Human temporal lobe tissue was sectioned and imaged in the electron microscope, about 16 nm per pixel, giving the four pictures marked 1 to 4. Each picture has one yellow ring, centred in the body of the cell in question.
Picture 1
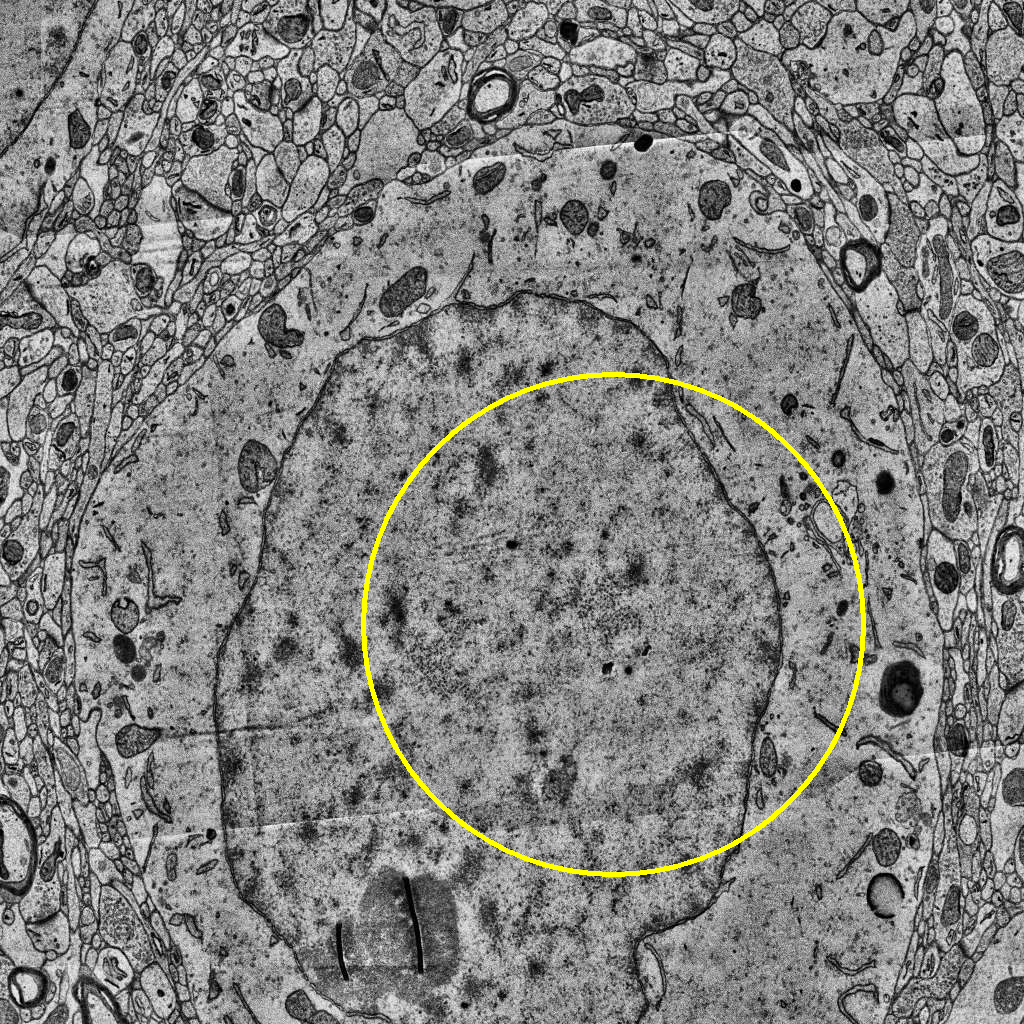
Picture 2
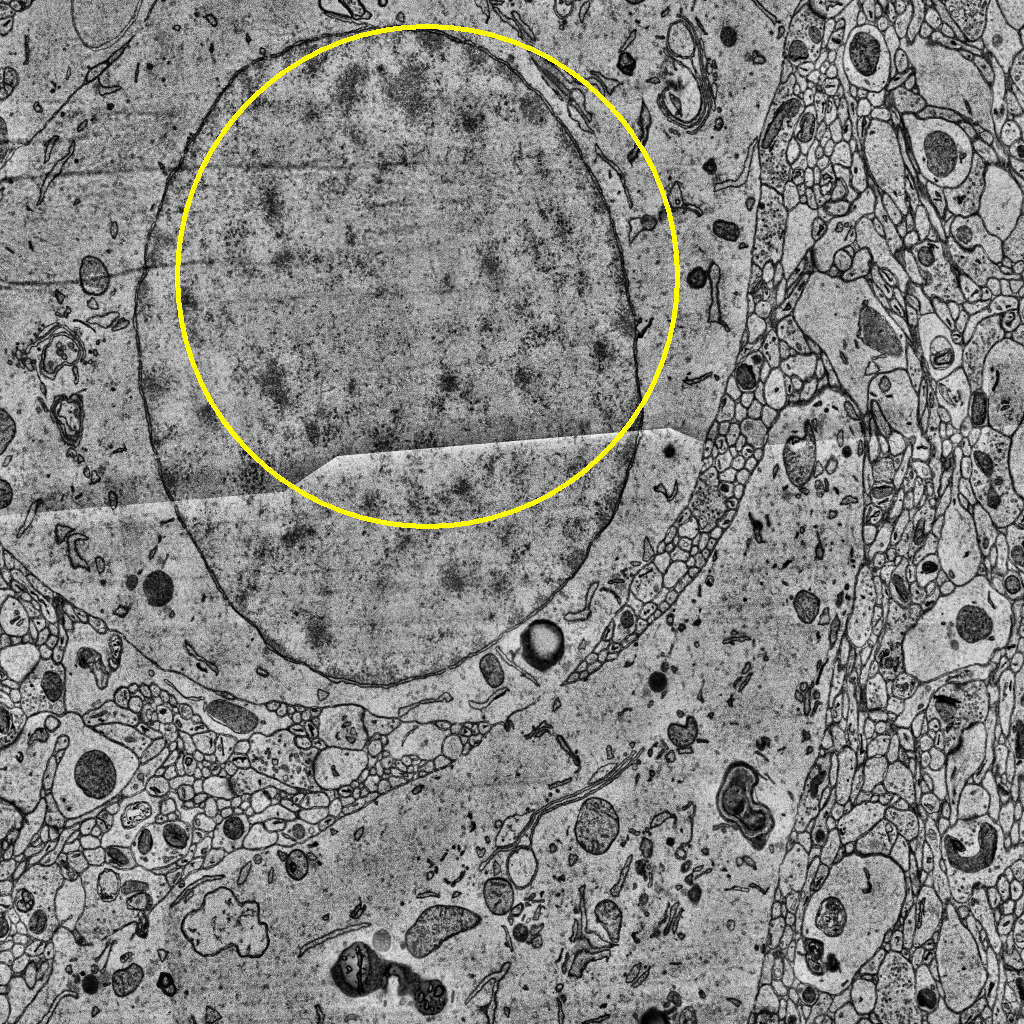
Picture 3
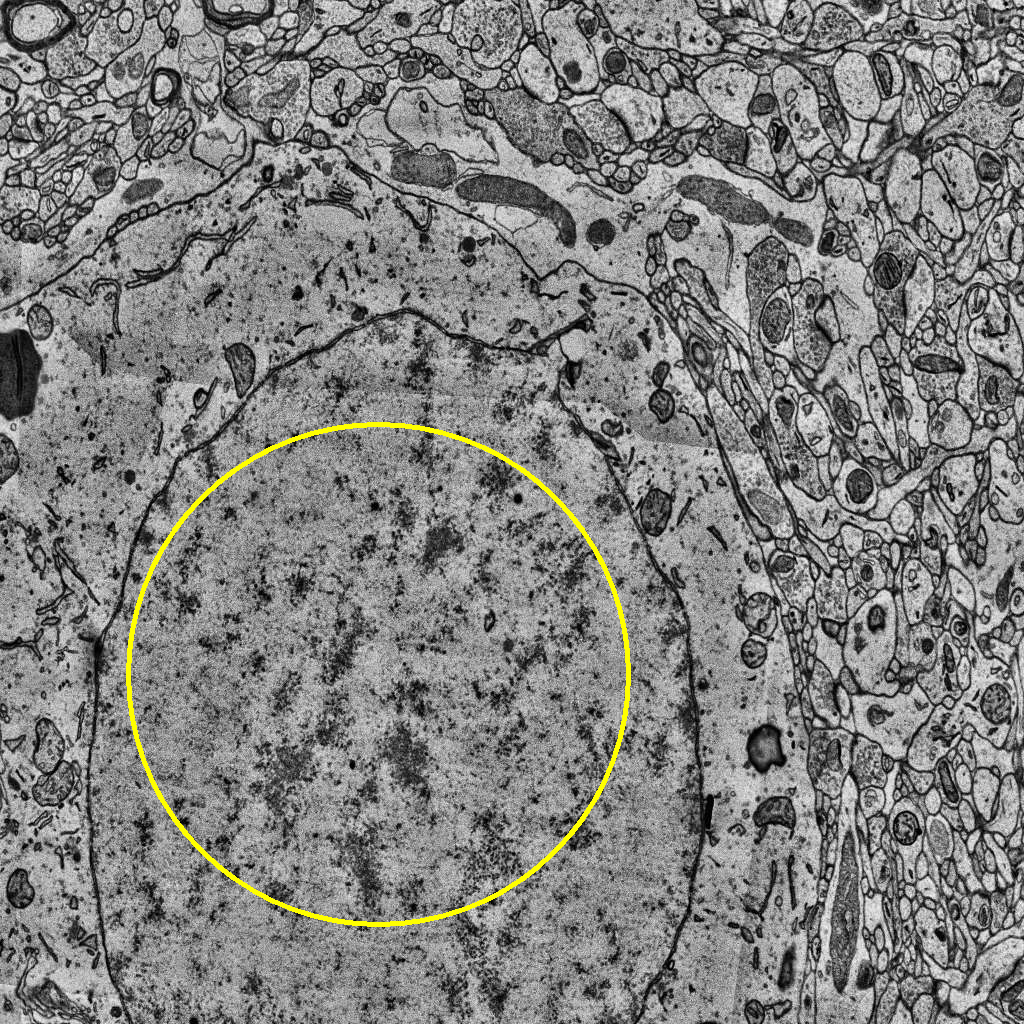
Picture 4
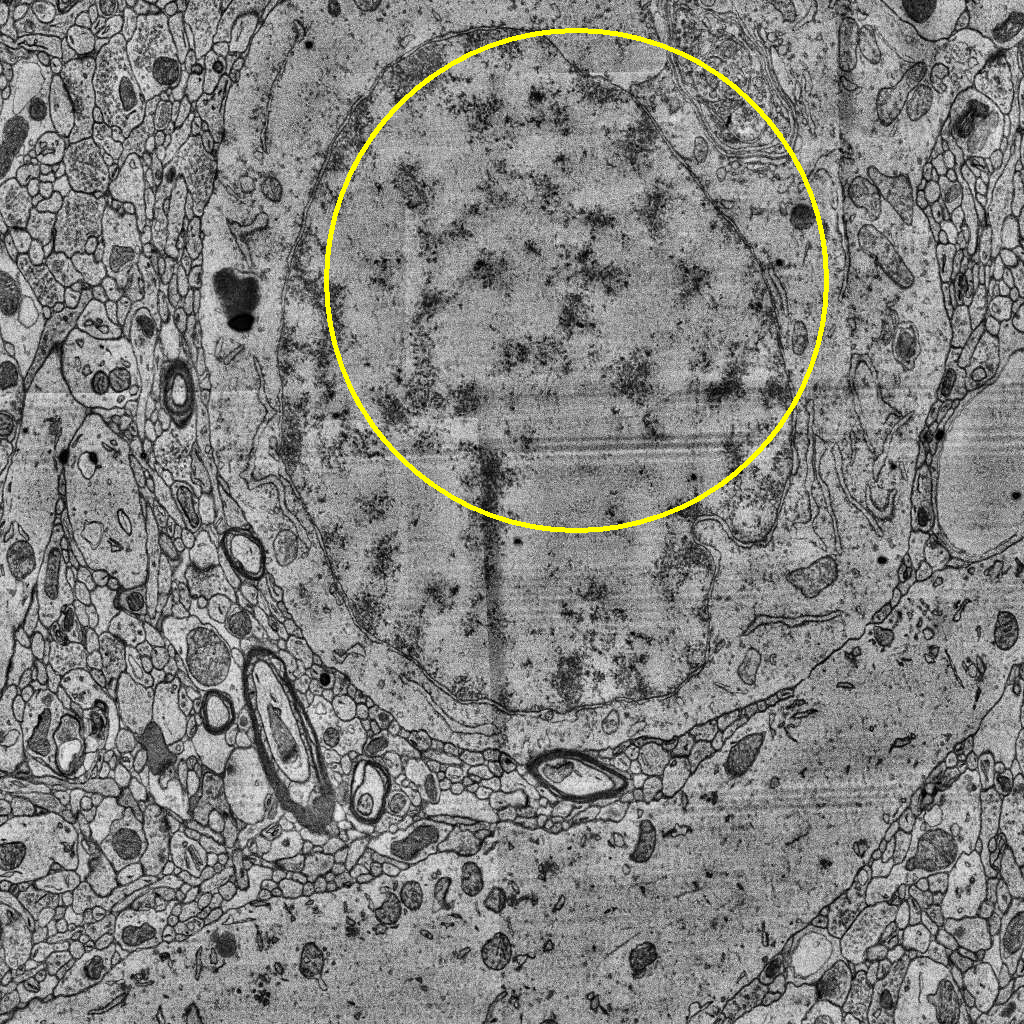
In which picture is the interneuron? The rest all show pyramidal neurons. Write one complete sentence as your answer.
Picture 4 shows the interneuron.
